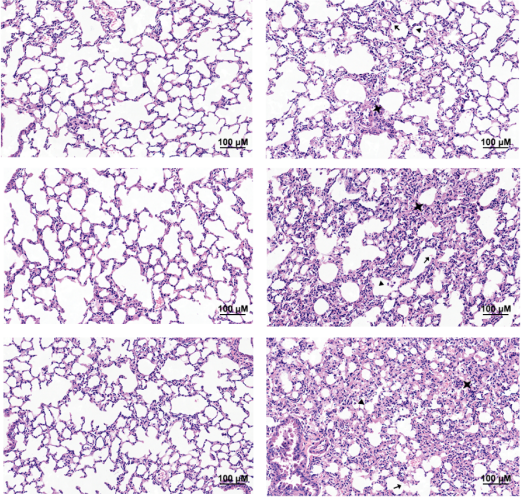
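Six fields of lung parenchyma show alveoli bounded by septa with purple nuclei and pink cytoplasm. In the left column the septa are thin and the airspaces are wide and open. In the right column the septa are thickened and crowded with dark nuclei, the airspaces are smaller, and some contain pale pink material. The thickening and crowding are strongest in the lower two right-hand fields.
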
